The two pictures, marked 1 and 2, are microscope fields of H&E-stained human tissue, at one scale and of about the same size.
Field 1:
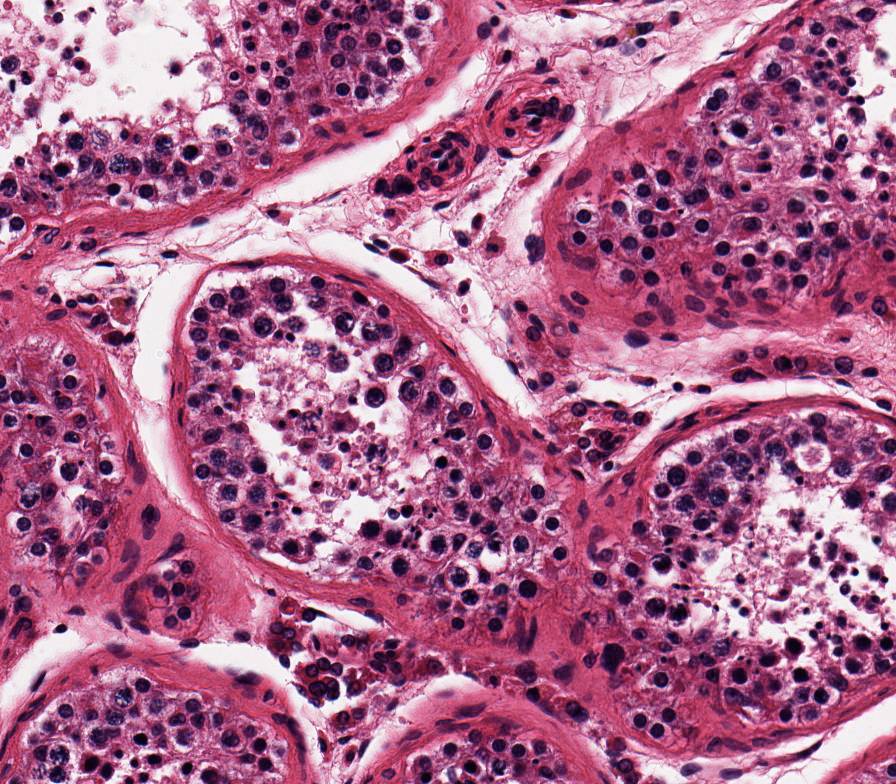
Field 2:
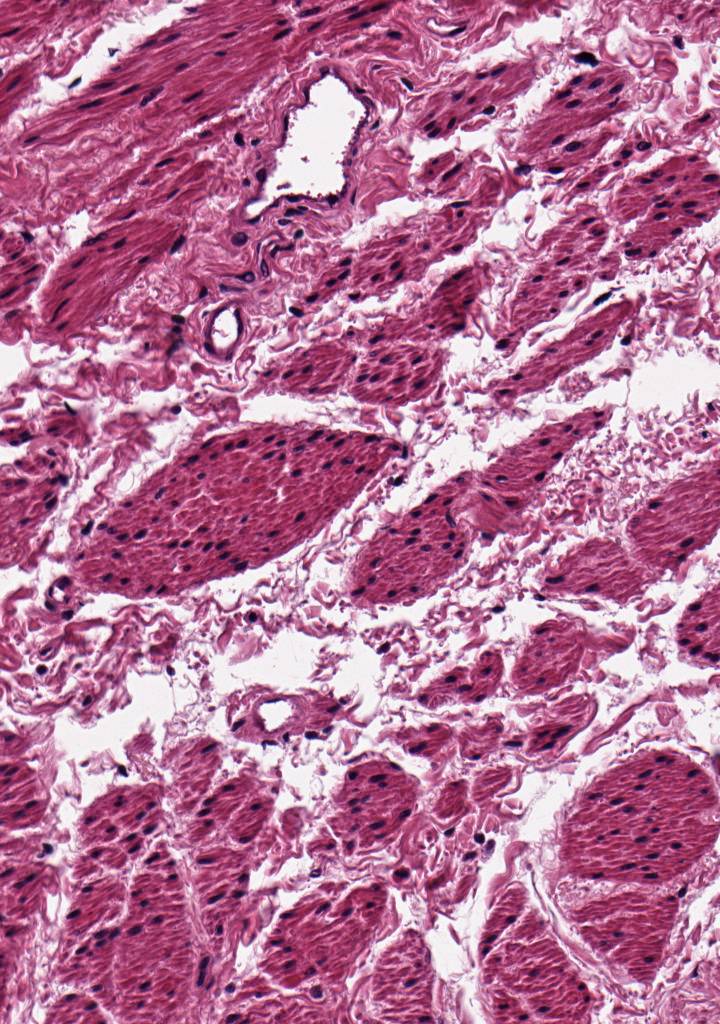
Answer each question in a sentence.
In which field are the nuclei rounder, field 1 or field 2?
On the whole the nuclei of field 1 are rounder than those of field 2.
